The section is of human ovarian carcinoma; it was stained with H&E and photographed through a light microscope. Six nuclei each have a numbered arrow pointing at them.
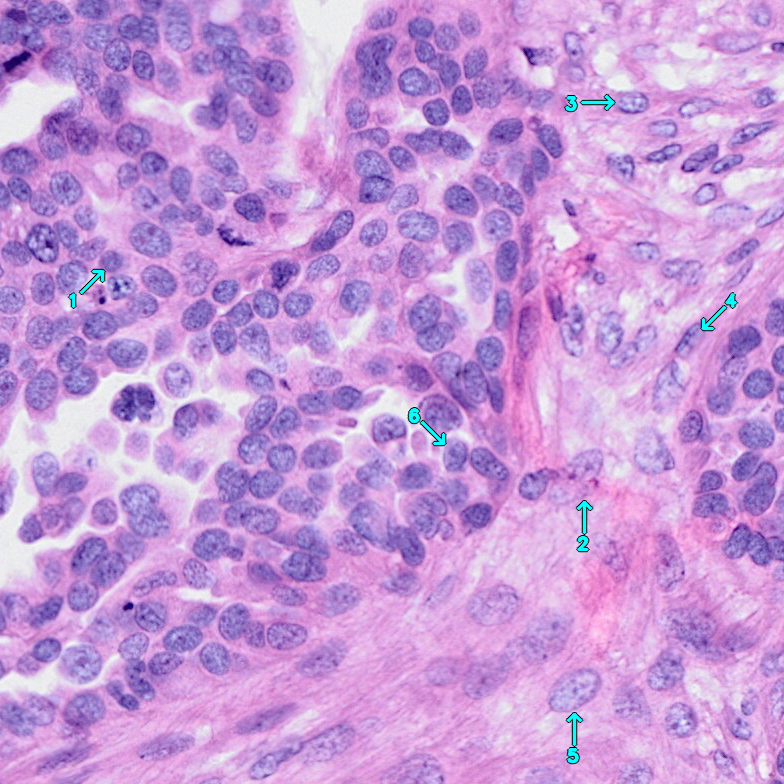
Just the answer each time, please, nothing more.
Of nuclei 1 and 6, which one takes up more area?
6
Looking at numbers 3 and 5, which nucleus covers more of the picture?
5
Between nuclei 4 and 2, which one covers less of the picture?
4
